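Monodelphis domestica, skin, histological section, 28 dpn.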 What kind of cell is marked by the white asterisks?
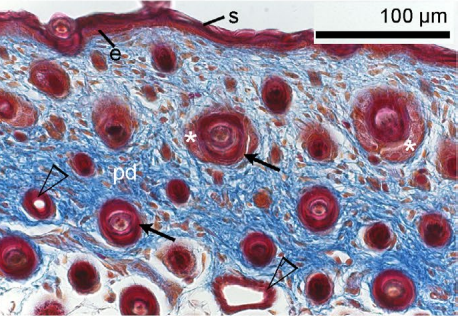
Cells of sebaceous glands.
